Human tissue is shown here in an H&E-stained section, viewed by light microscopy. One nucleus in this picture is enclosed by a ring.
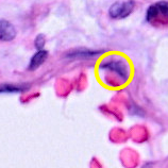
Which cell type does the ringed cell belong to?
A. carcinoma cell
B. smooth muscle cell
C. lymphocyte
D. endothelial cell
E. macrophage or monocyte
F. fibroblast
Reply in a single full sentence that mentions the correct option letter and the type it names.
As the ringed cell is an endothelial cell, the correct choice is option D.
